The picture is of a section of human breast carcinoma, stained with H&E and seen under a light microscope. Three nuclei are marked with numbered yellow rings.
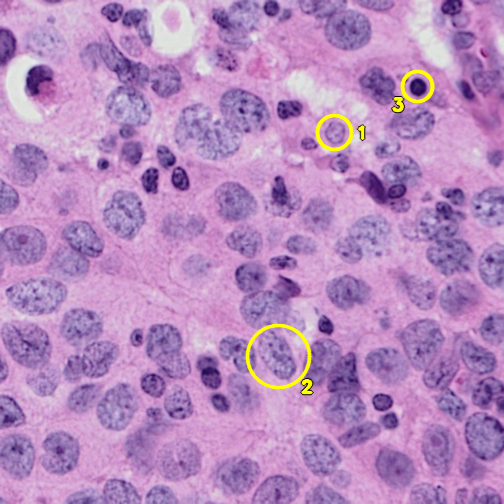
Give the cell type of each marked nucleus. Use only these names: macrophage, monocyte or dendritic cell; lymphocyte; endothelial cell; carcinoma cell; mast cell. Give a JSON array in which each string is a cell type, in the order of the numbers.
["macrophage, monocyte or dendritic cell", "carcinoma cell", "lymphocyte"]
